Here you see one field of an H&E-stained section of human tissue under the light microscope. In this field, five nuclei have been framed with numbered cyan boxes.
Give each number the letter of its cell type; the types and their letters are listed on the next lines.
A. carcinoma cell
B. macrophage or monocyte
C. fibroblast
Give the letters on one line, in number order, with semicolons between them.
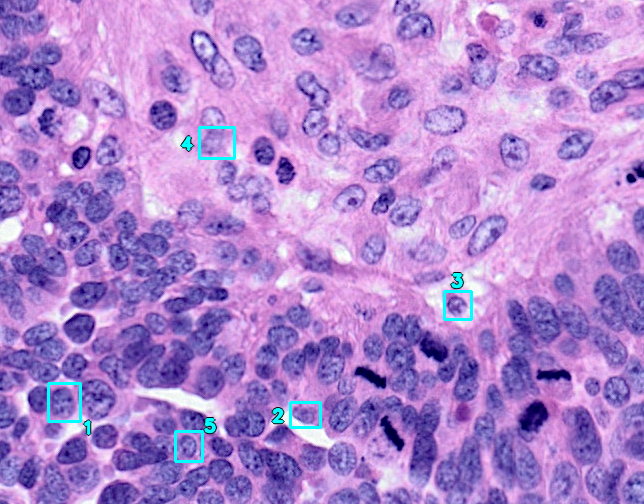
A; A; B; C; A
